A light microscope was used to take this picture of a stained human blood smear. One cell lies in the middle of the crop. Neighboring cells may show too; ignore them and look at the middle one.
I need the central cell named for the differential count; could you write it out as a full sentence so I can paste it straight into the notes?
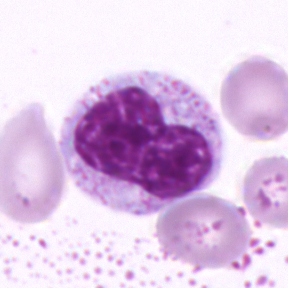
The cell shown in the center of this light-microscope crop is a metamyelocyte.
